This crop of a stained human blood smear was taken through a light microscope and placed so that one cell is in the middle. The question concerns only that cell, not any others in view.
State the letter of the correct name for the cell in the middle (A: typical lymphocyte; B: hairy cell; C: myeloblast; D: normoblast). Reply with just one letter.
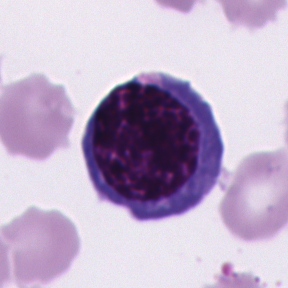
D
